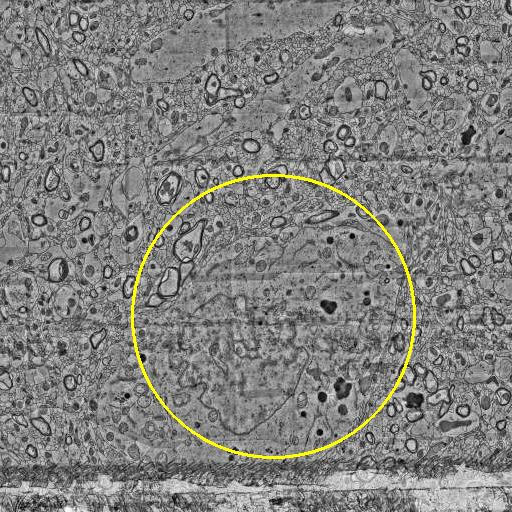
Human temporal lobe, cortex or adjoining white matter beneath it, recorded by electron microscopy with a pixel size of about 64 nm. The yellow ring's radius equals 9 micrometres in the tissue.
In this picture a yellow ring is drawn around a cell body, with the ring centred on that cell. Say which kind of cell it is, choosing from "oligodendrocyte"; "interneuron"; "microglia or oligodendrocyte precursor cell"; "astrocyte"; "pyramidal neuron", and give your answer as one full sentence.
Here it is an oligodendrocyte that sits at the centre of the drawn yellow ring.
